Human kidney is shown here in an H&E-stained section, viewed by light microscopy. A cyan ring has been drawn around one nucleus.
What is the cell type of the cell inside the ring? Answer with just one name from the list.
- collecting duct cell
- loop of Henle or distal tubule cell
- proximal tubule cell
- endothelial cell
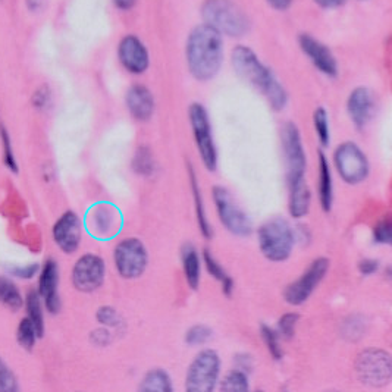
loop of Henle or distal tubule cell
